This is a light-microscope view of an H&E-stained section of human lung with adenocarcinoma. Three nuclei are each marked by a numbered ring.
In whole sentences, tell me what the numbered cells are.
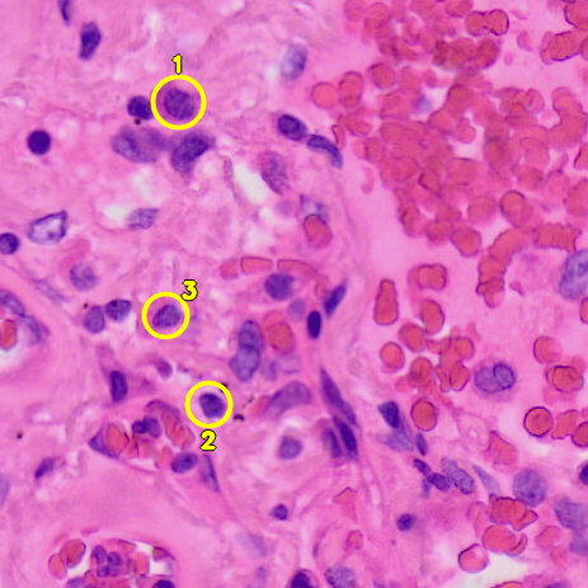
Cell 1 is a plasma cell. Cell 2 is a lymphocyte. Cell 3 is a mast cell.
